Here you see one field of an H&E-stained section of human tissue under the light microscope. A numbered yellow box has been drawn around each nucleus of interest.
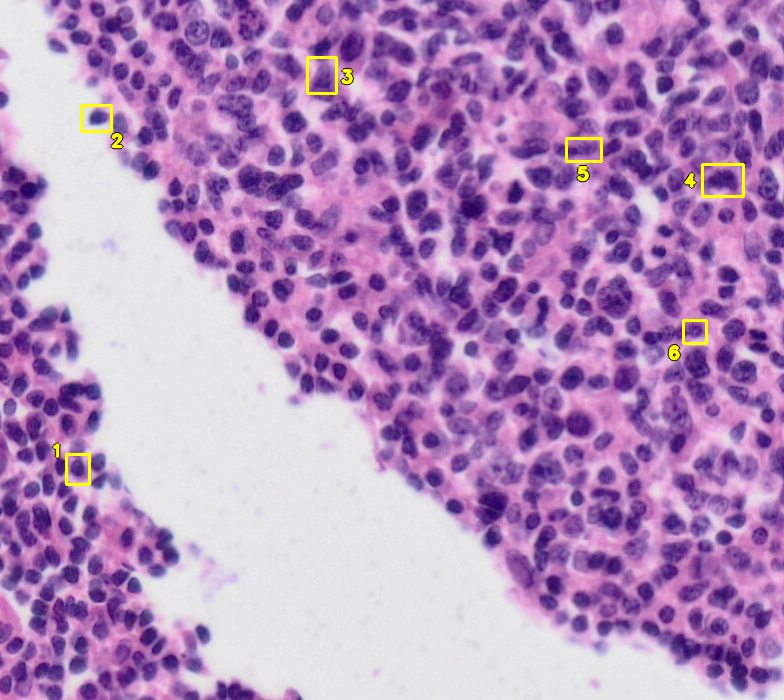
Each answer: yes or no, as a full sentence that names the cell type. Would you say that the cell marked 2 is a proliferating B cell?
No, a small lymphocyte, not a proliferating B cell, is the cell with number 2.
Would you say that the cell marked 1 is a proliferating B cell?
No, rather than a proliferating B cell, cell number 1 is a small lymphocyte.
